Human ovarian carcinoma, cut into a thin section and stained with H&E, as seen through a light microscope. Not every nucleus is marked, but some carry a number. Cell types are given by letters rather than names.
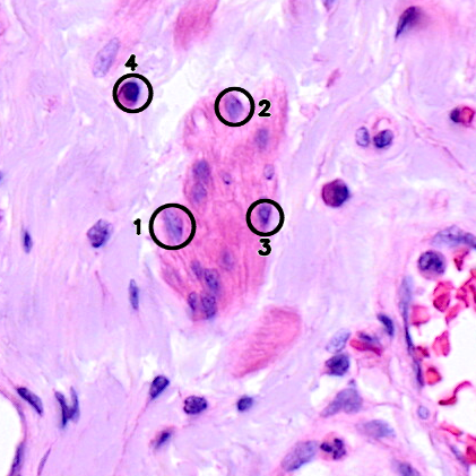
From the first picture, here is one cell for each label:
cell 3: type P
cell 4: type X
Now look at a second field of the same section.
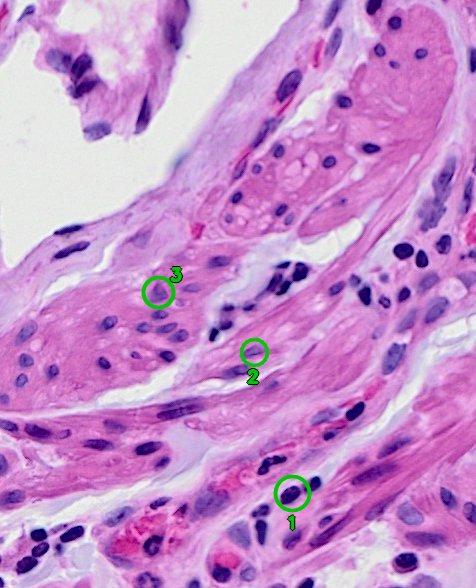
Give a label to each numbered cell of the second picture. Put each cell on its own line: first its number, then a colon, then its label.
1: type X
2: type P
3: type P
